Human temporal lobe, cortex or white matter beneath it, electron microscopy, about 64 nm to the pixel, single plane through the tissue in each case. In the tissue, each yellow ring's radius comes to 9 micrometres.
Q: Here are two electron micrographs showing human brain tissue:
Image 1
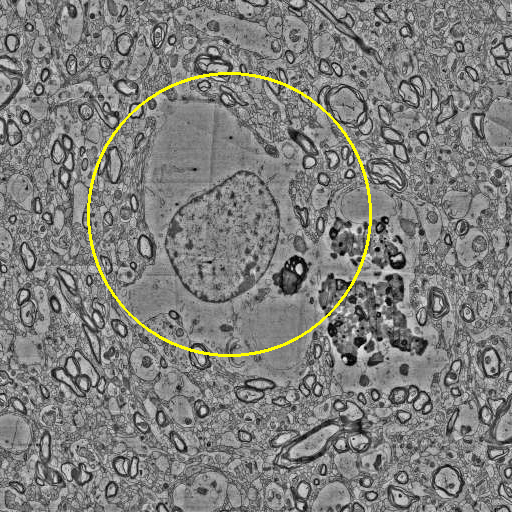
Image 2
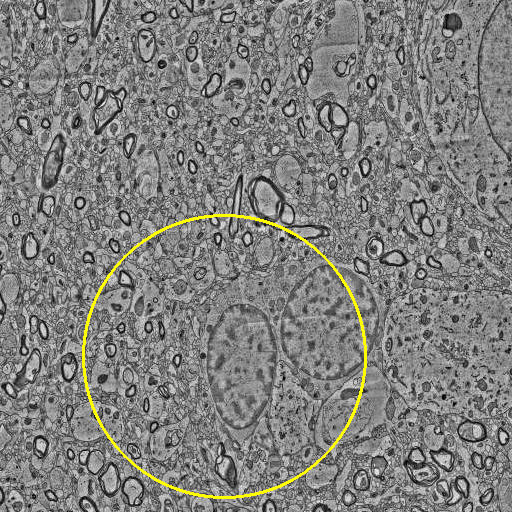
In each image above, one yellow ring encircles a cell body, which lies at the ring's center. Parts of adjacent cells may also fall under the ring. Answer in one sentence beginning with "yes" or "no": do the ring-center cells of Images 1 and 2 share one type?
No, in Images 1 and 2, the ring-center cells are of two types.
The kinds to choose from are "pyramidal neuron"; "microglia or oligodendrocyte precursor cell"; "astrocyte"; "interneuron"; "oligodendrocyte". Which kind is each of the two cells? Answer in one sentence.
Of the two, the first cell is an astrocyte and the second cell is an oligodendrocyte.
